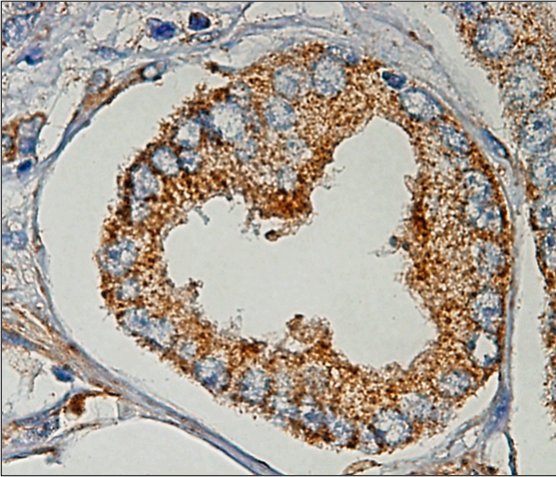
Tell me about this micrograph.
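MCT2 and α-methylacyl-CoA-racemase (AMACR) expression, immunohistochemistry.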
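This is a single gland of the prostate cut in cross-section, lined by malignant gland cells around an open, irregular lumen. The lining cells form a fairly even ring and have round, pale blue nuclei set toward the outer edge of the gland. Their cytoplasm, between the nuclei and the lumen, is densely filled with fine brown dots, giving a finely granular, punctate appearance. The gland is surrounded by thin strands of pale stroma containing a few flat, dark blue nuclei. Part of a neighbouring gland at the upper right shows the same granular brown cytoplasm.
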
